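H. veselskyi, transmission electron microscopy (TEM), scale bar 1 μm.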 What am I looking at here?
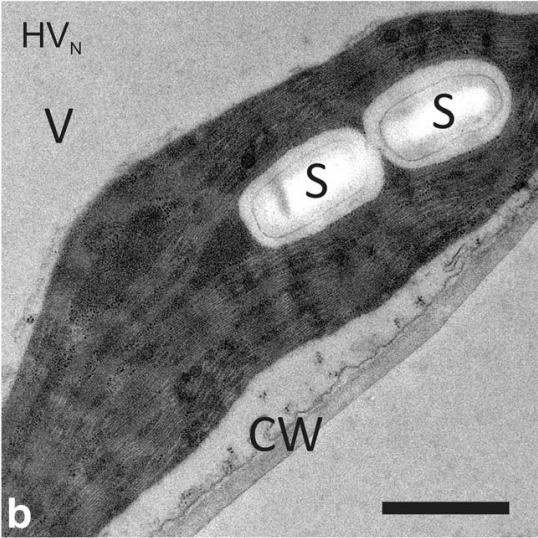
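This is a chloroplast in a plant cell, lying in the thin layer of cytoplasm between the large pale vacuole and the cell wall. Its dark stroma is packed with tightly stacked, parallel thylakoid membranes, and two pale oval starch grains sit end to end near its middle.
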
